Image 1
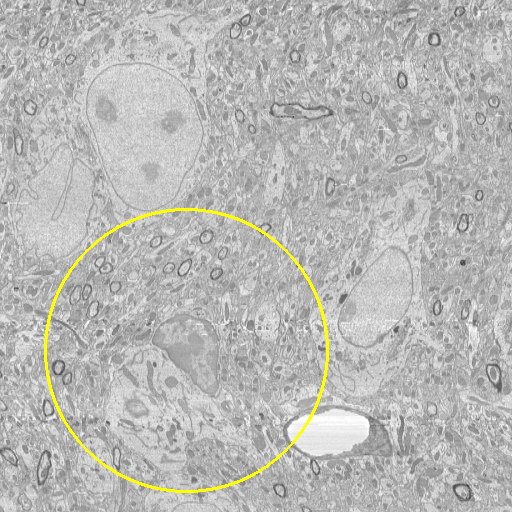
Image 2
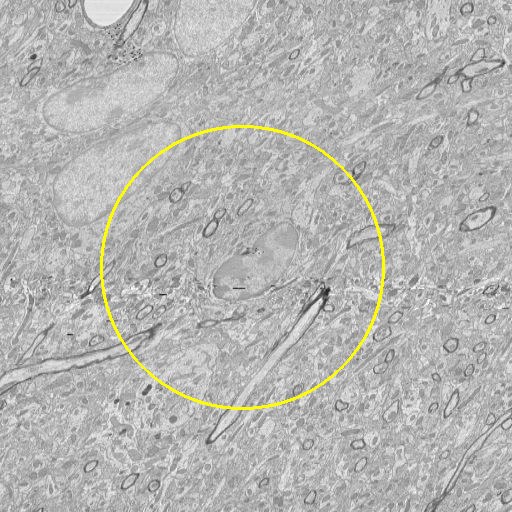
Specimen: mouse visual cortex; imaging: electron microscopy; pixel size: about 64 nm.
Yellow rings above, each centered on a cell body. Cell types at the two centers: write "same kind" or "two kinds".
same kind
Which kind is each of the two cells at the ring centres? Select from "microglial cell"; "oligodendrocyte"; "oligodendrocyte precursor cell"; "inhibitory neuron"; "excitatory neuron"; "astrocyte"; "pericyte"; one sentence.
Each of the two cells is a microglial cell.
